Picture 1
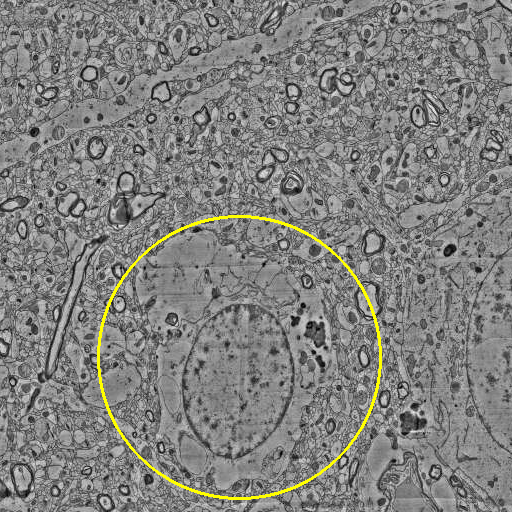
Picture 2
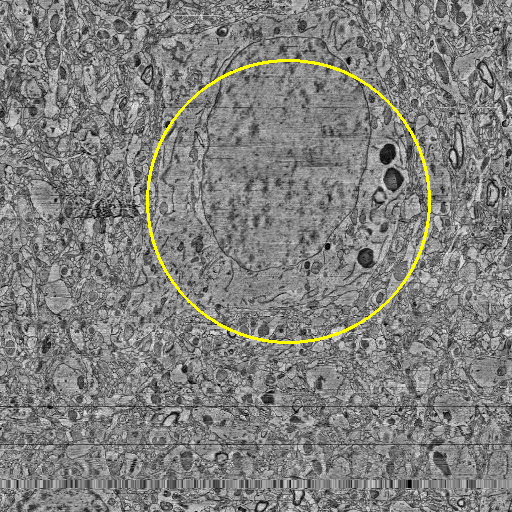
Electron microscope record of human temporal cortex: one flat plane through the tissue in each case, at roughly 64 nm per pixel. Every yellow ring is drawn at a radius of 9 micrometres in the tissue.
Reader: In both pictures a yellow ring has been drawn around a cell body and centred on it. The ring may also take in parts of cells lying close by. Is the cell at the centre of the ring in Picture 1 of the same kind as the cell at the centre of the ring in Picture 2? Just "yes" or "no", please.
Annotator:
no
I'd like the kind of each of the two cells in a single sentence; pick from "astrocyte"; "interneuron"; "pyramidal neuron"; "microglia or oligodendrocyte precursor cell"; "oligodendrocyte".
The first ring marks an astrocyte, and the second ring marks a pyramidal neuron.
